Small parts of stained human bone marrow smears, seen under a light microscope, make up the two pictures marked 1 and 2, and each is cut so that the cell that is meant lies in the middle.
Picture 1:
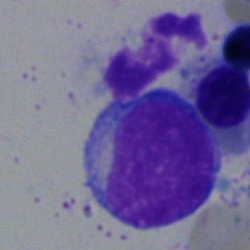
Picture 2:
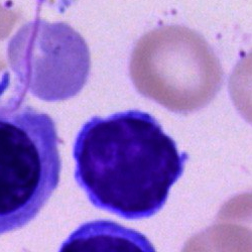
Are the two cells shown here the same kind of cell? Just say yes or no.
no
